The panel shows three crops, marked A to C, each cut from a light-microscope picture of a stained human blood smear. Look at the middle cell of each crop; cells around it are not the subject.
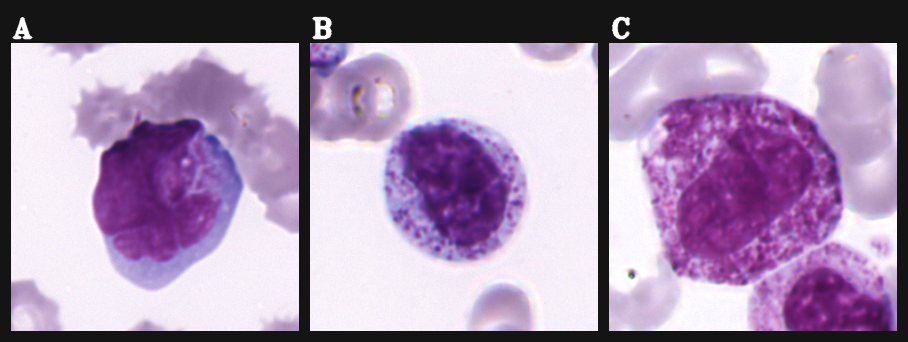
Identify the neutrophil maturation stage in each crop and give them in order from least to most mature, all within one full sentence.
The crops, when placed from least to most mature, read crop A (a myeloblast), crop C (a myelocyte) and crop B (a metamyelocyte).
